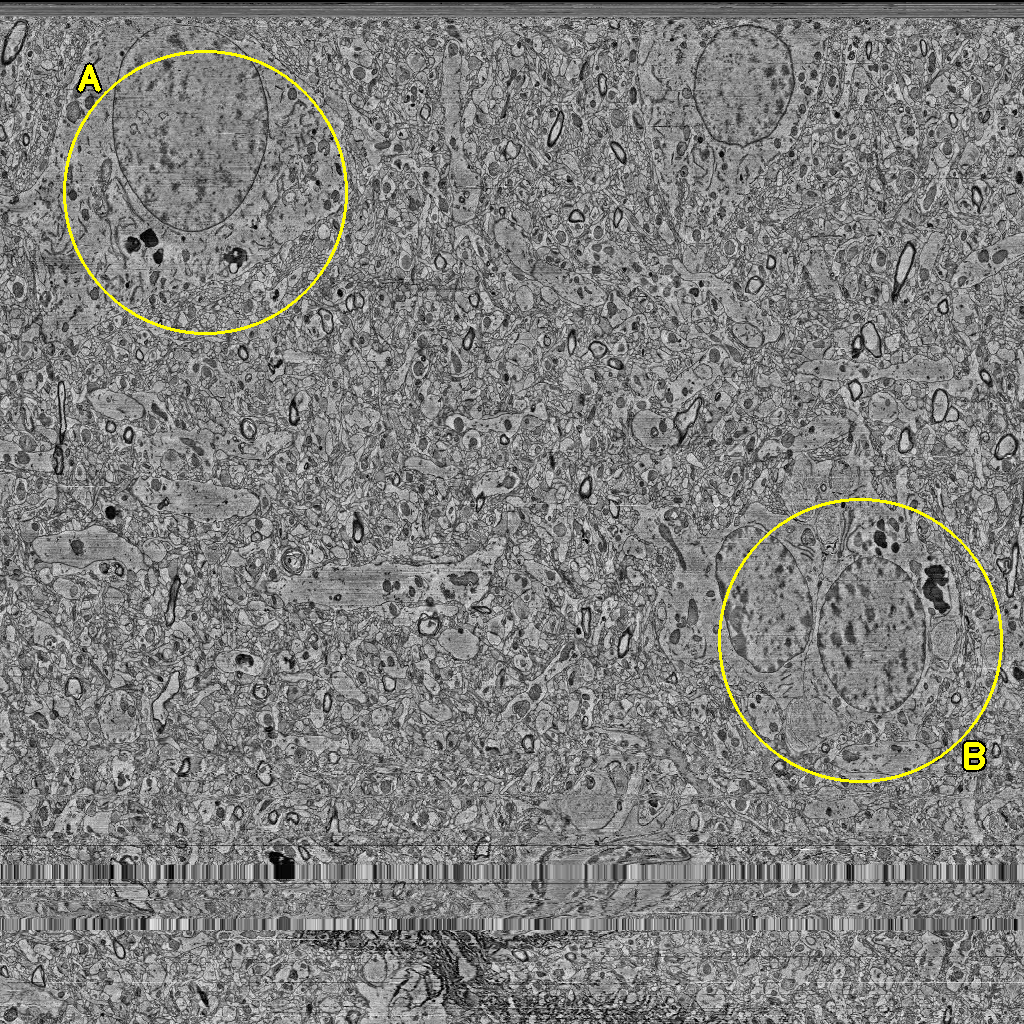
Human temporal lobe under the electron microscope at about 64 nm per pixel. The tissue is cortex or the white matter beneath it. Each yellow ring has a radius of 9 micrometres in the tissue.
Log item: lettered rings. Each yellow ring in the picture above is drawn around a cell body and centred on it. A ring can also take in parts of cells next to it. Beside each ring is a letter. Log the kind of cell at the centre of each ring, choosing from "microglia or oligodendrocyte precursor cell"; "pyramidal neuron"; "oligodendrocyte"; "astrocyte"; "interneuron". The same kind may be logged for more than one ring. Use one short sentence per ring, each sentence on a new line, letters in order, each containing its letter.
Within ring A, the centre is taken by a pyramidal neuron.
Within ring B, the centre is taken by an astrocyte.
